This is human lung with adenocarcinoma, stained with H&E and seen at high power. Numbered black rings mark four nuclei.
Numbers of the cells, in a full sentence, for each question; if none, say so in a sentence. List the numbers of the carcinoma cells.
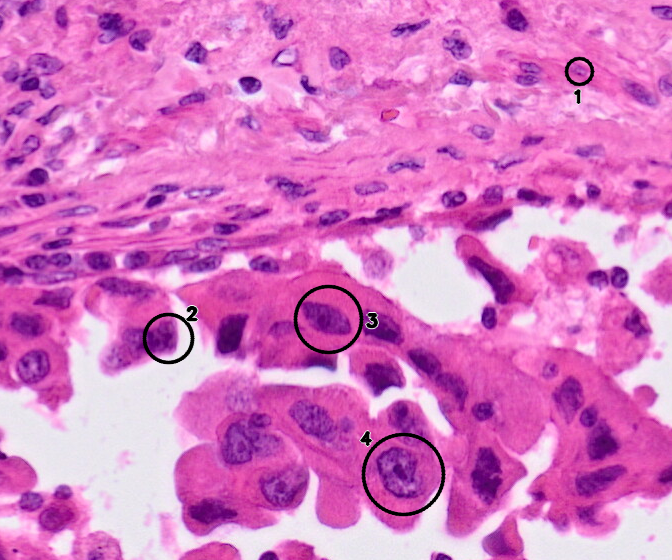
Regarding the numbered cells 2, 3 and 4, these are carcinoma cells.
